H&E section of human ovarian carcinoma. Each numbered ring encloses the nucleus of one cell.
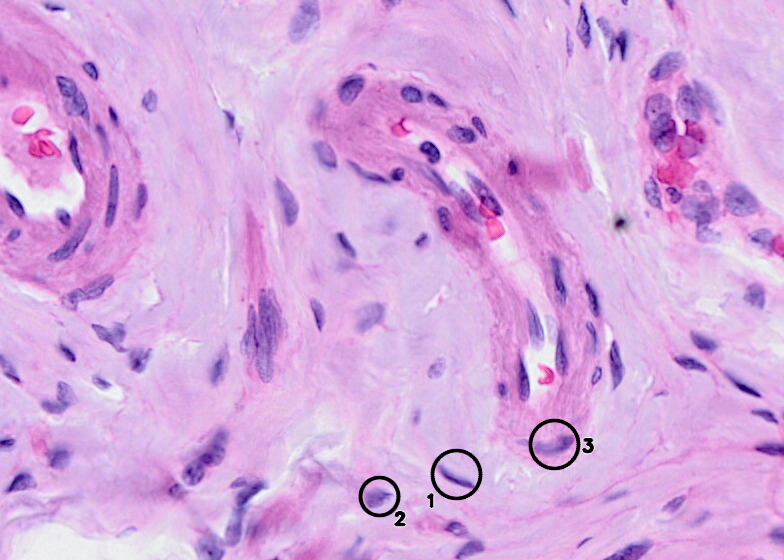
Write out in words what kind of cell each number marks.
Cell 1 is a fibroblast, cell 2 is a fibroblast and cell 3 is a smooth muscle cell.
